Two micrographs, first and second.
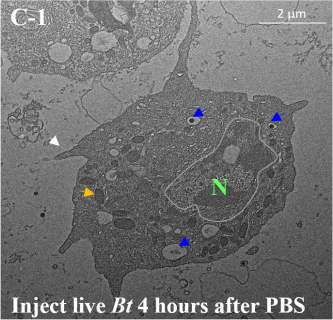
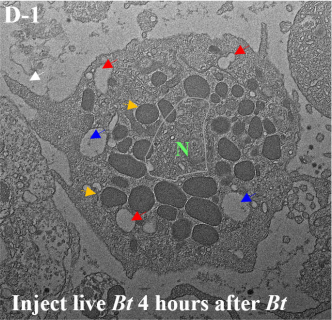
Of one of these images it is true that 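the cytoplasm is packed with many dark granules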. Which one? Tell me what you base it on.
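First image: the cytoplasm holds only scattered dark granules among paler organelles. Second image: numerous dark, electron-dense oval granules fill much of the cytoplasm around the nucleus.
Hence: the second image.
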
